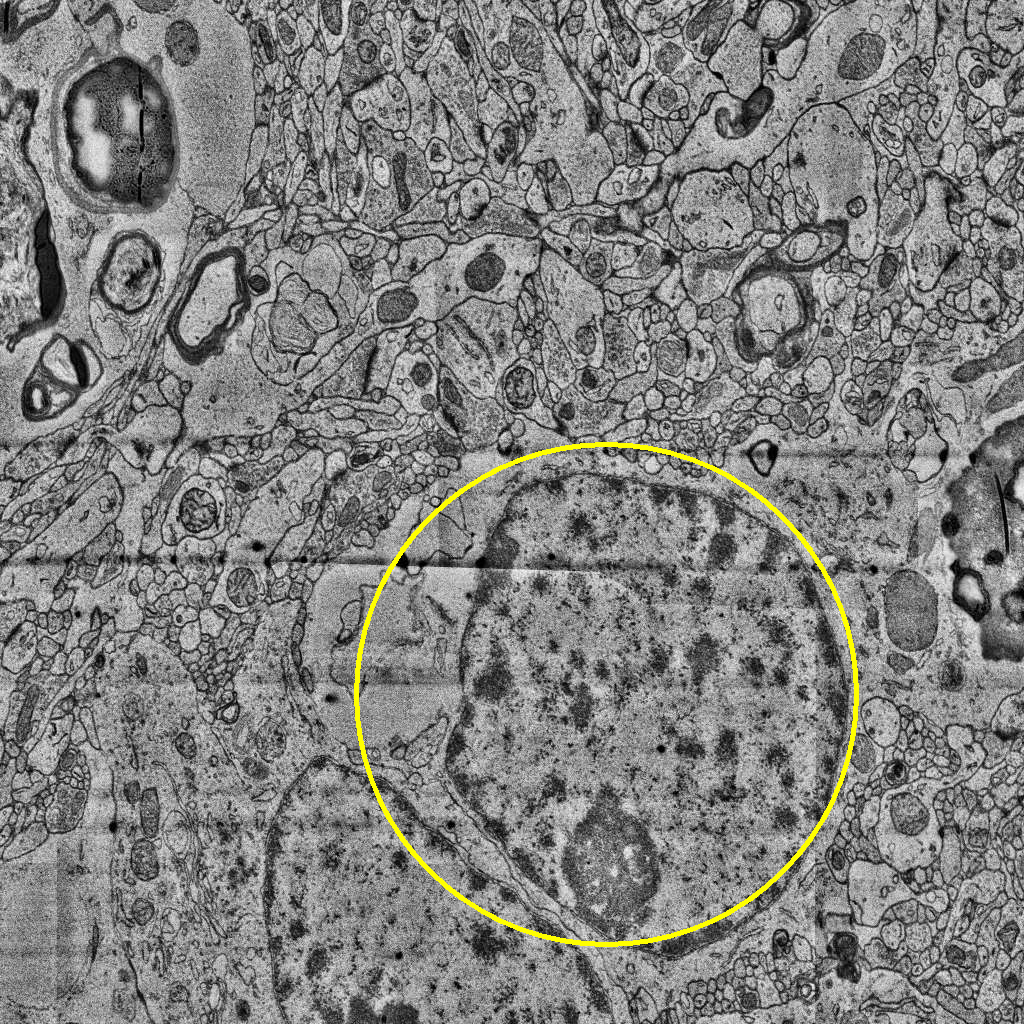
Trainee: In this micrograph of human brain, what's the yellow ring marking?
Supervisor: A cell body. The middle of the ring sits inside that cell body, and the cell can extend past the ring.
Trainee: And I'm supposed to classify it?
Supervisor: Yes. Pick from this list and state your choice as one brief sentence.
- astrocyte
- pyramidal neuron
The cell at the ring's center is an astrocyte.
